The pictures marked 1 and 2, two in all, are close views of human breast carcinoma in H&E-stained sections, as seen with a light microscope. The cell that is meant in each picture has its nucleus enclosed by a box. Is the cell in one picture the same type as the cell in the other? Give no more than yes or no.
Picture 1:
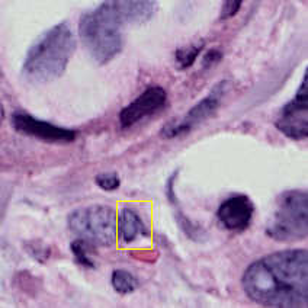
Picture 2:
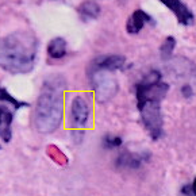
yes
